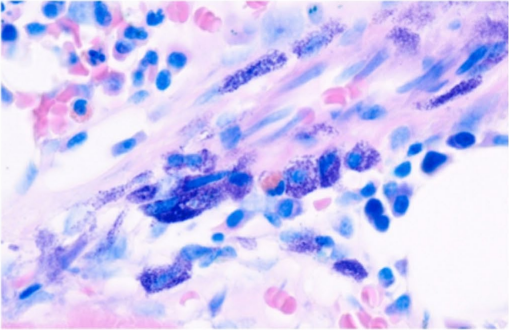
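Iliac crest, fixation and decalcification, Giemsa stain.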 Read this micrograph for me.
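This is bone marrow with a streaming band of neoplastic mast cells. They are spindle-shaped, elongated along the band, with oval nuclei and cytoplasm crowded with coarse purple to violet granules that in places hide the nucleus. Between them lie pale pink fibrous strands. Scattered around are smaller round cells with compact blue nuclei, and pink red blood cells are seen at the edges. A fat space appears as a clear area in the lower right. The granularity and spindle form of the cells are the striking features.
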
